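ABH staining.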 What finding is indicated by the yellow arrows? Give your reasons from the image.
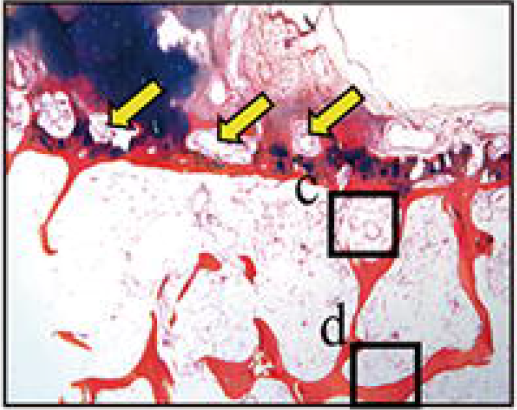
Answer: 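Subchondral bone destruction. Irregular gaps and debris at the bone-cartilage border.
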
